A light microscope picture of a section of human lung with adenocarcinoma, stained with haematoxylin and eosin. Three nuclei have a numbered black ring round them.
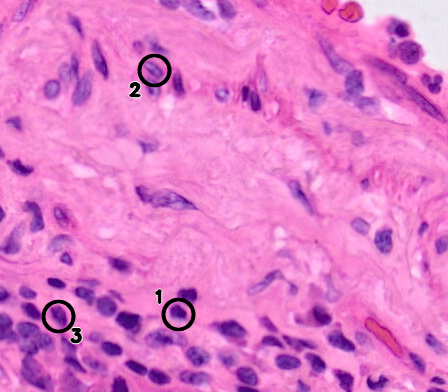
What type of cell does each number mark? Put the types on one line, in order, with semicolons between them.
lymphocyte; smooth muscle cell or pericyte; lymphocyte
